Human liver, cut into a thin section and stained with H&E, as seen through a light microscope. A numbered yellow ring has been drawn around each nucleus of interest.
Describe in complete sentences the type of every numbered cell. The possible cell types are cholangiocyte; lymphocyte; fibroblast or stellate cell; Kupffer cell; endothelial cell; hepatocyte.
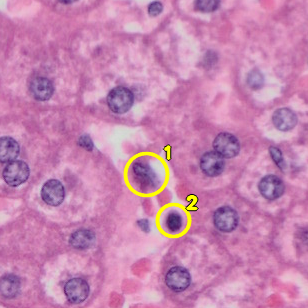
Cell 1 is a Kupffer cell and cell 2 is a lymphocyte.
